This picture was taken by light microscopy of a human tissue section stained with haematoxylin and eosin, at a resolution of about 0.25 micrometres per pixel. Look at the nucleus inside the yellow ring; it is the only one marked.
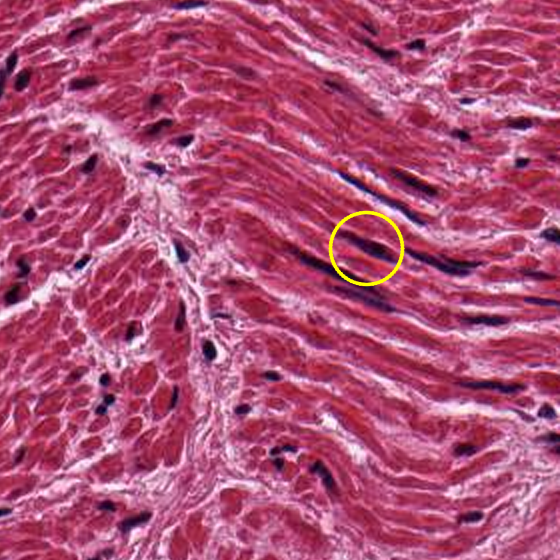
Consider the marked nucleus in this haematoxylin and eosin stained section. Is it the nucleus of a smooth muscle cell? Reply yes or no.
yes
